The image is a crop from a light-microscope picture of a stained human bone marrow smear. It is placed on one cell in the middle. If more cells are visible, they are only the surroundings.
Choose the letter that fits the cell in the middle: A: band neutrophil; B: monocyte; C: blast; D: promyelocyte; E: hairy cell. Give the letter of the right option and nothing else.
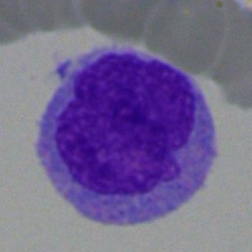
B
